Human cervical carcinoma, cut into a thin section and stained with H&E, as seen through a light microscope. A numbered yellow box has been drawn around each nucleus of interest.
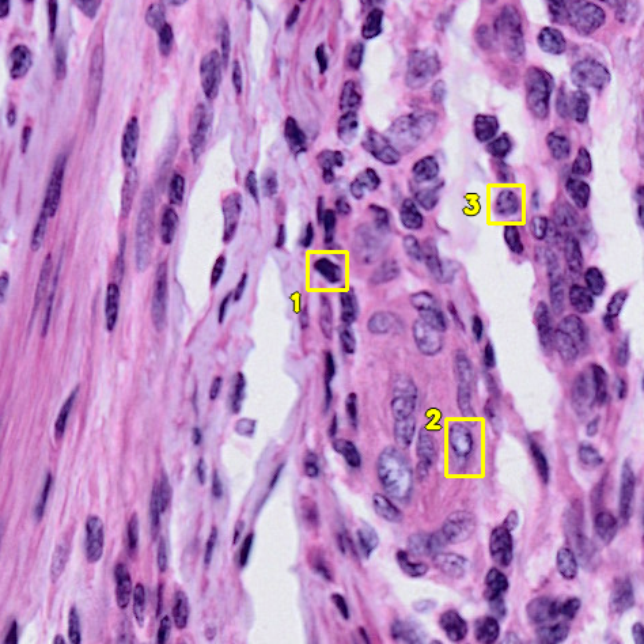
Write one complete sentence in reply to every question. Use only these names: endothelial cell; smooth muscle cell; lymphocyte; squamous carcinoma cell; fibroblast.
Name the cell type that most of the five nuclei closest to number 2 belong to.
Endothelial cells make up most of the five nuclei closest to number 2.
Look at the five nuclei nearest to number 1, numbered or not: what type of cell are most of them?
Around number 1, most of the five nearest nuclei are those of lymphocytes.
